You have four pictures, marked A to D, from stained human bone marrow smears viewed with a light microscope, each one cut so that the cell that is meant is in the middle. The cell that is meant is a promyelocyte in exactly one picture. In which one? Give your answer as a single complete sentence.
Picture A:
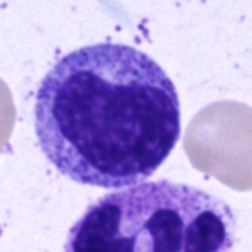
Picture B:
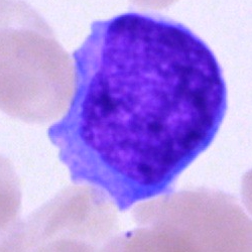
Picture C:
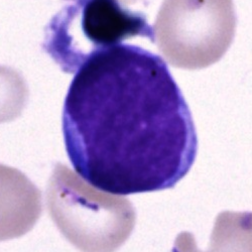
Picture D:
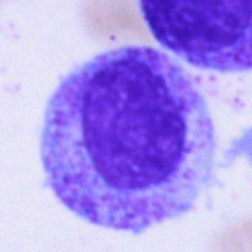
The promyelocyte is the one in picture D.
